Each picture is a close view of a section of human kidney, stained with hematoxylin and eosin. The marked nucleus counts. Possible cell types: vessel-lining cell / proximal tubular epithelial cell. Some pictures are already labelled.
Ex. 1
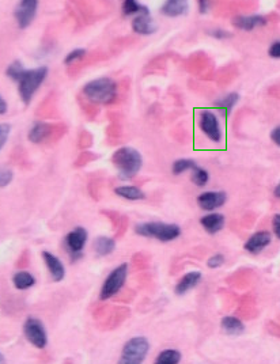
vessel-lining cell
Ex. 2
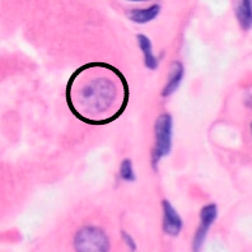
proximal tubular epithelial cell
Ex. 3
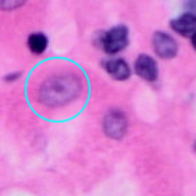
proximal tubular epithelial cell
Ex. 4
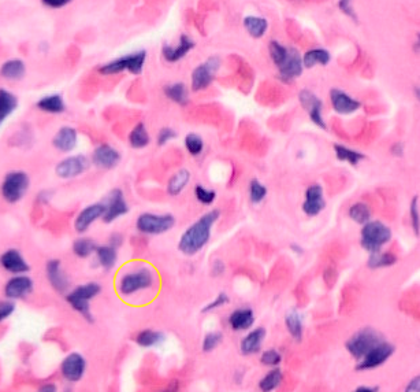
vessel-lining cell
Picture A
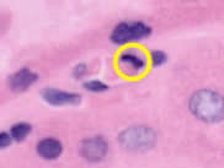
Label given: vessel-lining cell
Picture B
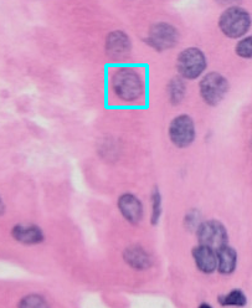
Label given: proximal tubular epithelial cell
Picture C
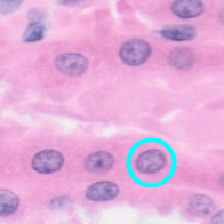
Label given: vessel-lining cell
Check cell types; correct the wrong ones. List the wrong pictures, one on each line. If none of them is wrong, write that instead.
C is labelled vessel-lining cell; correct label: proximal tubular epithelial cell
